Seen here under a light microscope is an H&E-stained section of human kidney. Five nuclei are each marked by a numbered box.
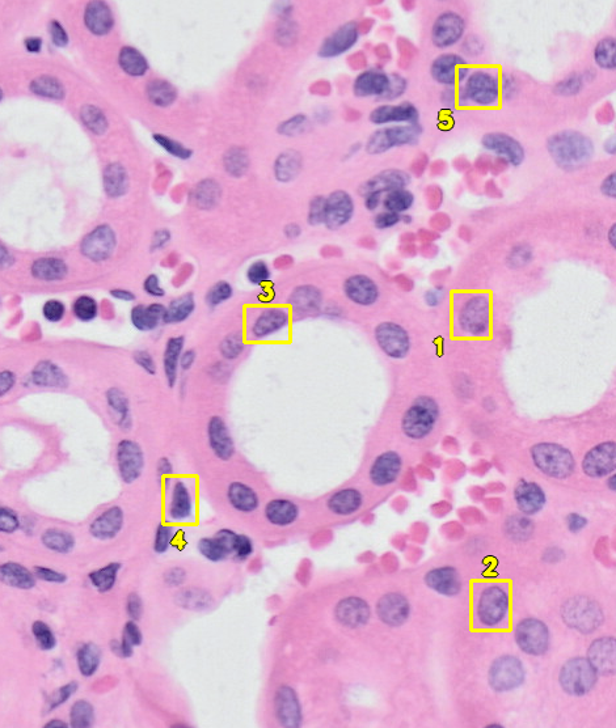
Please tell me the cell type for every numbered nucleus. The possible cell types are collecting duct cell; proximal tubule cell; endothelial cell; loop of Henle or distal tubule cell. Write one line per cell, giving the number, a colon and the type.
1: proximal tubule cell
2: proximal tubule cell
3: loop of Henle or distal tubule cell
4: endothelial cell
5: collecting duct cell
